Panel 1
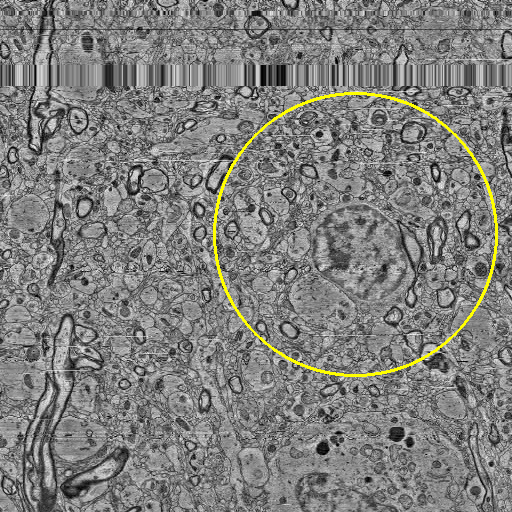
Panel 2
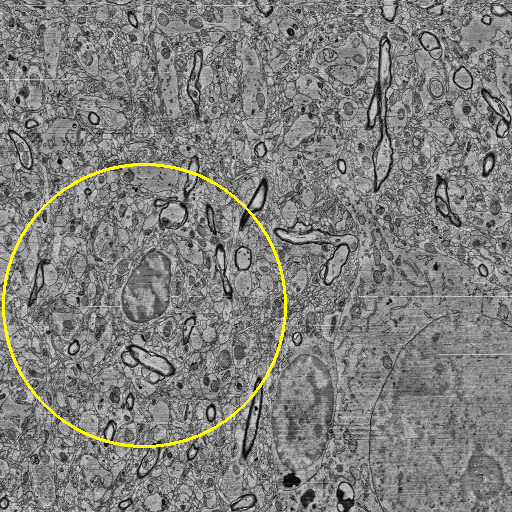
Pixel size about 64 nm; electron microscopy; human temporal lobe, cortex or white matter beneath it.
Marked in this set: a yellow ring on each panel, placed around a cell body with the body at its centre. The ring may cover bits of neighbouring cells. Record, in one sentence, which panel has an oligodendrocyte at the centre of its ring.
Panel 1 has it at the centre of its ring.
